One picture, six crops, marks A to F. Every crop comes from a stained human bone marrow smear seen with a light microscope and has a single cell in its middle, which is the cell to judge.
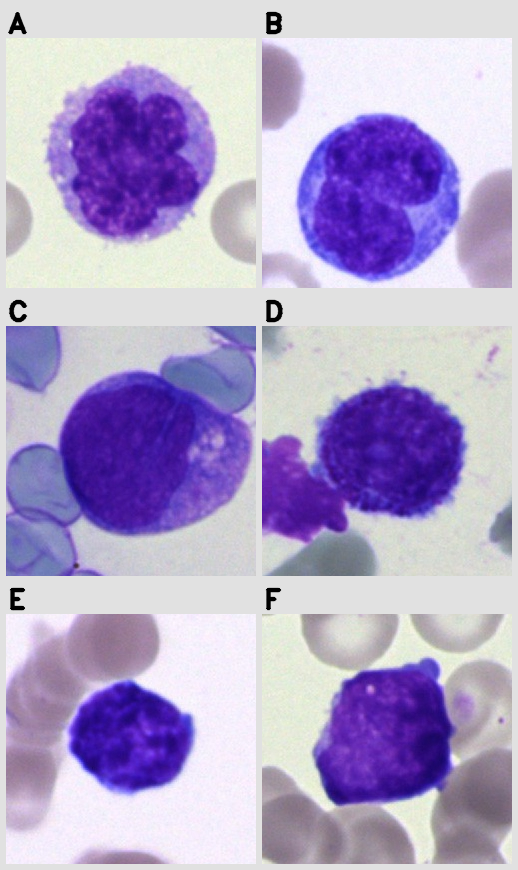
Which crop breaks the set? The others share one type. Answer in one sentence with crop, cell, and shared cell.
Crop A is the different one, a monocyte, while the rest are blasts.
